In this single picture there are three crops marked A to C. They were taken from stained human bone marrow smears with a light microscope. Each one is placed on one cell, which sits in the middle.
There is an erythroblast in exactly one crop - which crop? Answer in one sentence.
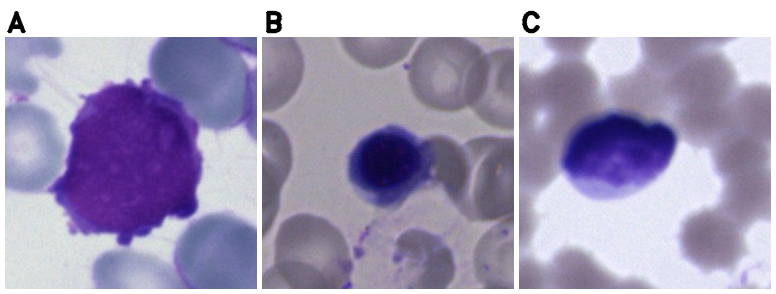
Crop B shows an erythroblast, and no other crop does.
